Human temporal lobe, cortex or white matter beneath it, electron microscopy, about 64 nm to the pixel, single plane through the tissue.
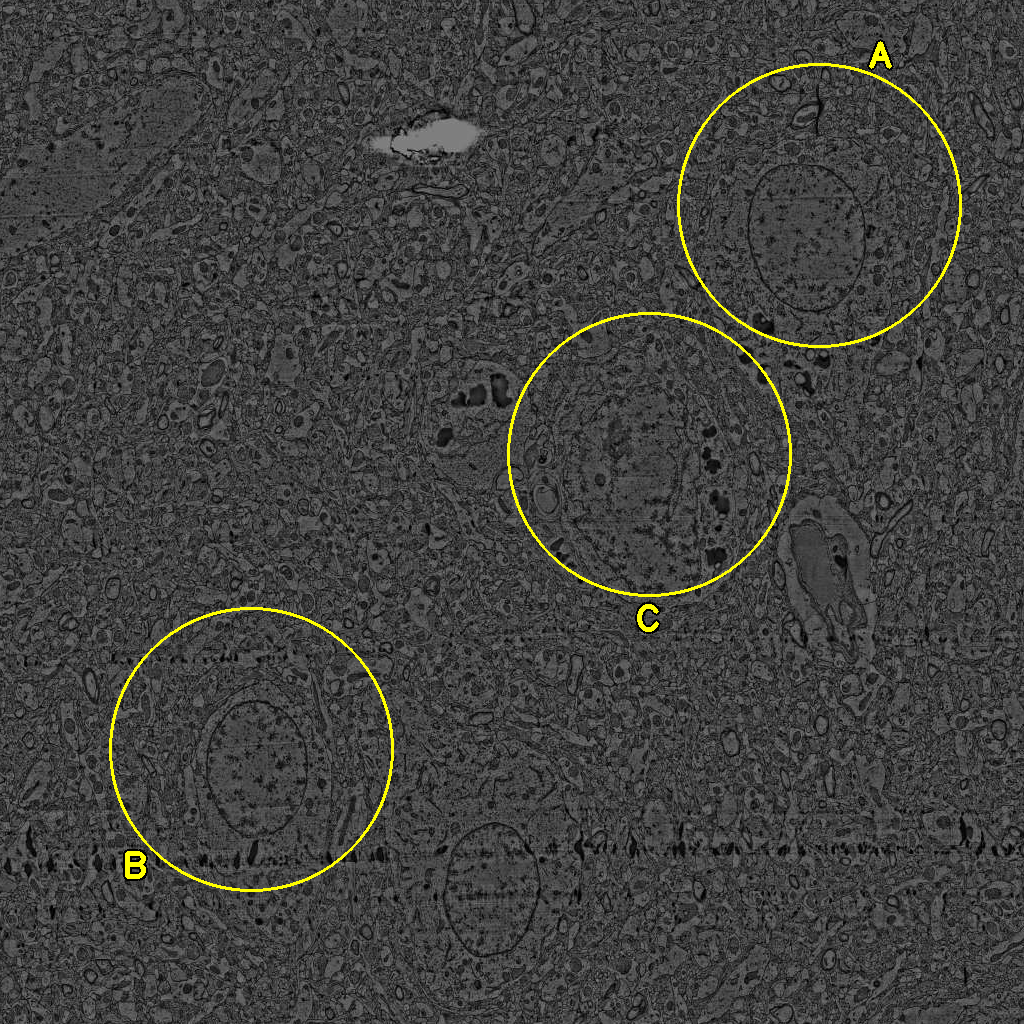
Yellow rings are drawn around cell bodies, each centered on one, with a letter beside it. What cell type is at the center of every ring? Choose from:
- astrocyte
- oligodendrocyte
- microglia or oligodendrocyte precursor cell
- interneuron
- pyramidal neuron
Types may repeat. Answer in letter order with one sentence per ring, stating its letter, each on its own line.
The cell at the center of ring A is a pyramidal neuron.
The cell at the center of ring B is a pyramidal neuron.
The cell at the center of ring C is an interneuron.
